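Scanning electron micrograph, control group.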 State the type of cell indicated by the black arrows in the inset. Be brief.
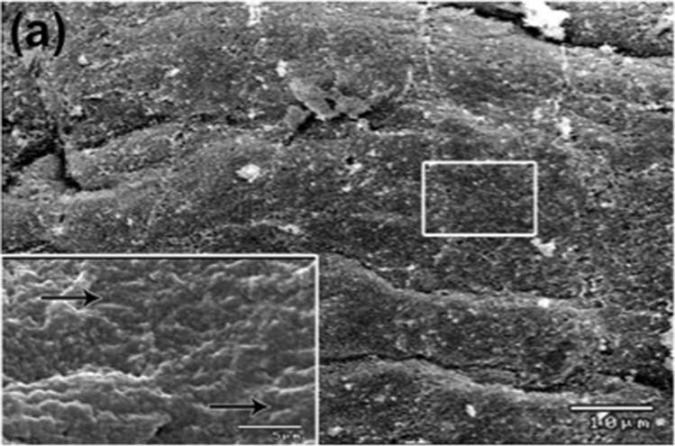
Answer: Relatively flat endothelial cells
